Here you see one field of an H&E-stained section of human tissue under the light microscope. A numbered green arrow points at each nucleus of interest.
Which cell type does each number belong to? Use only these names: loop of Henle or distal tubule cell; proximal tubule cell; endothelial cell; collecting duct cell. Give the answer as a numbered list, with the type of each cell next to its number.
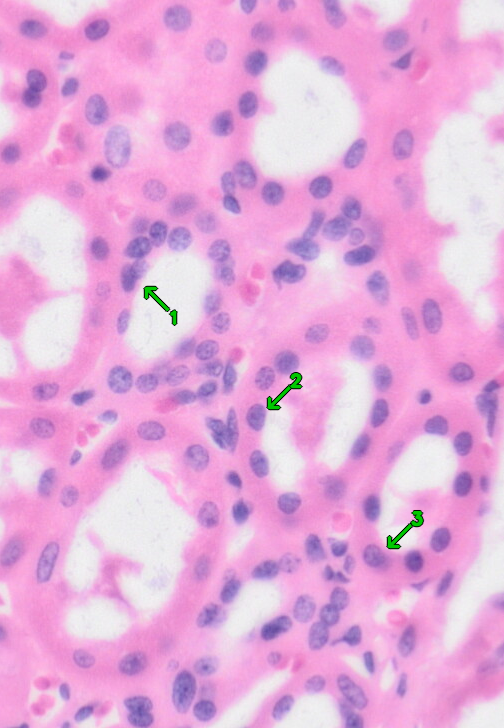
1. collecting duct cell
2. loop of Henle or distal tubule cell
3. collecting duct cell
